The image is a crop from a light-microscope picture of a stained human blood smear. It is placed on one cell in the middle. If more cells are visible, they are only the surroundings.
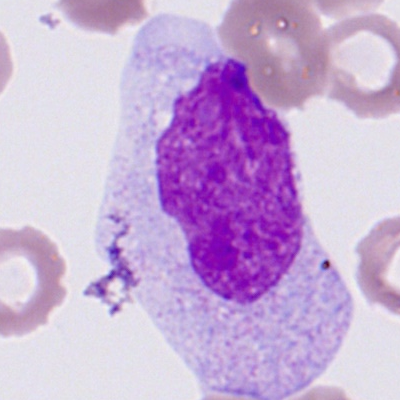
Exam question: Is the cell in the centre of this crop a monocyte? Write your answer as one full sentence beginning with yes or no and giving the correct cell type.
Yes, the cell in the centre is a monocyte.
